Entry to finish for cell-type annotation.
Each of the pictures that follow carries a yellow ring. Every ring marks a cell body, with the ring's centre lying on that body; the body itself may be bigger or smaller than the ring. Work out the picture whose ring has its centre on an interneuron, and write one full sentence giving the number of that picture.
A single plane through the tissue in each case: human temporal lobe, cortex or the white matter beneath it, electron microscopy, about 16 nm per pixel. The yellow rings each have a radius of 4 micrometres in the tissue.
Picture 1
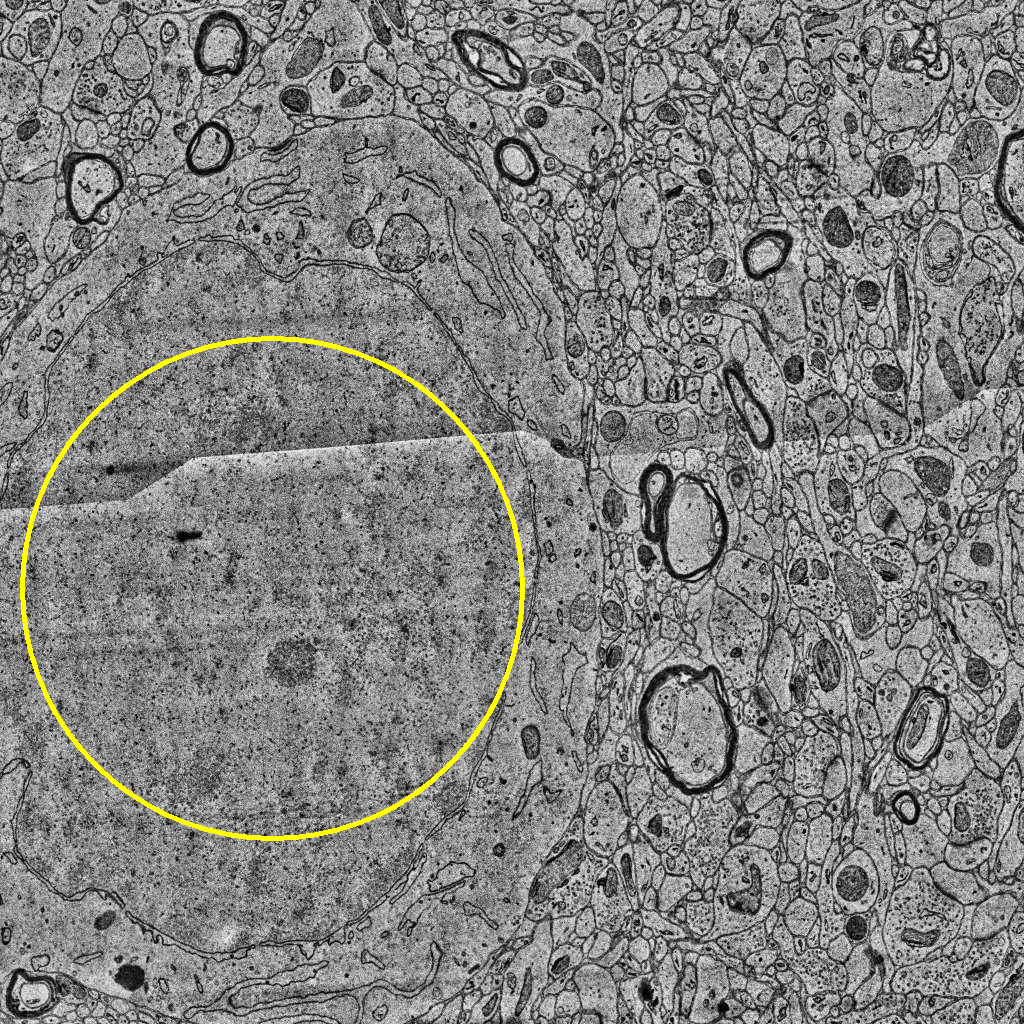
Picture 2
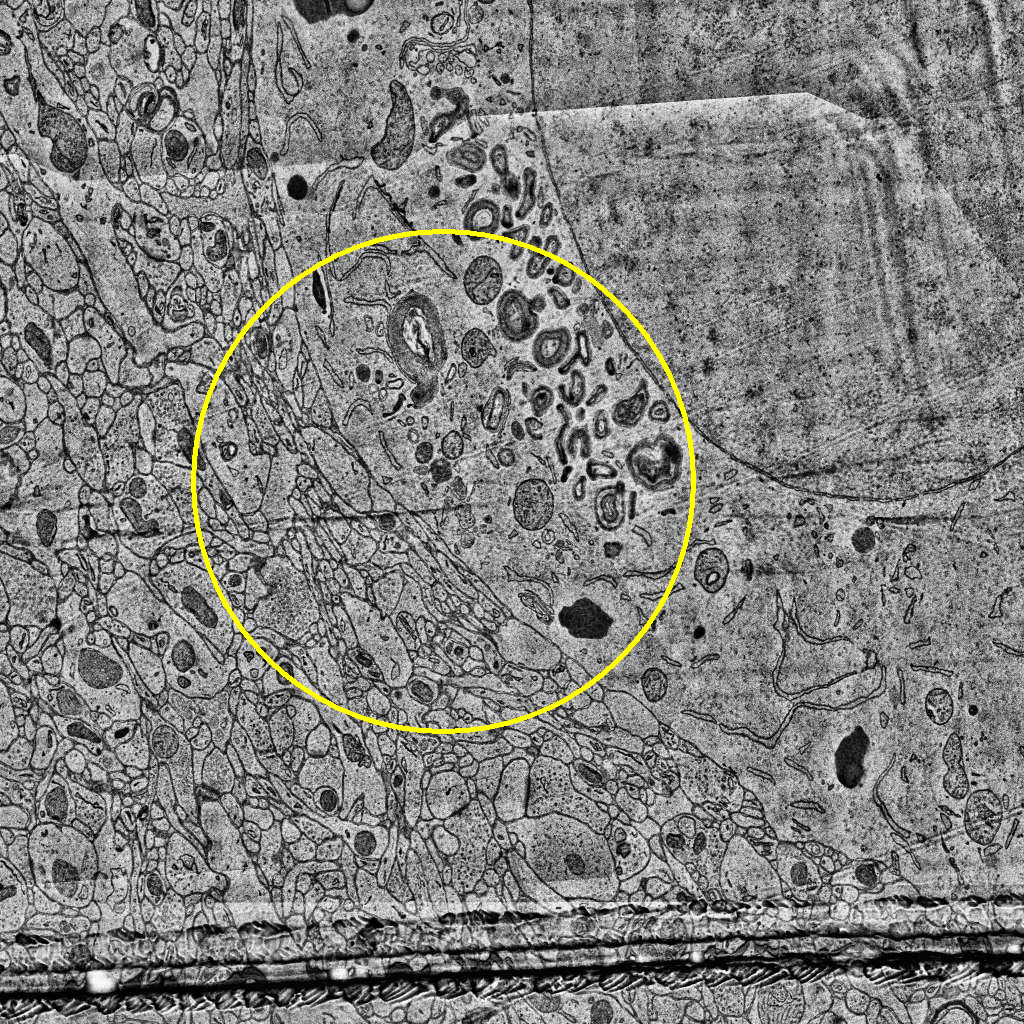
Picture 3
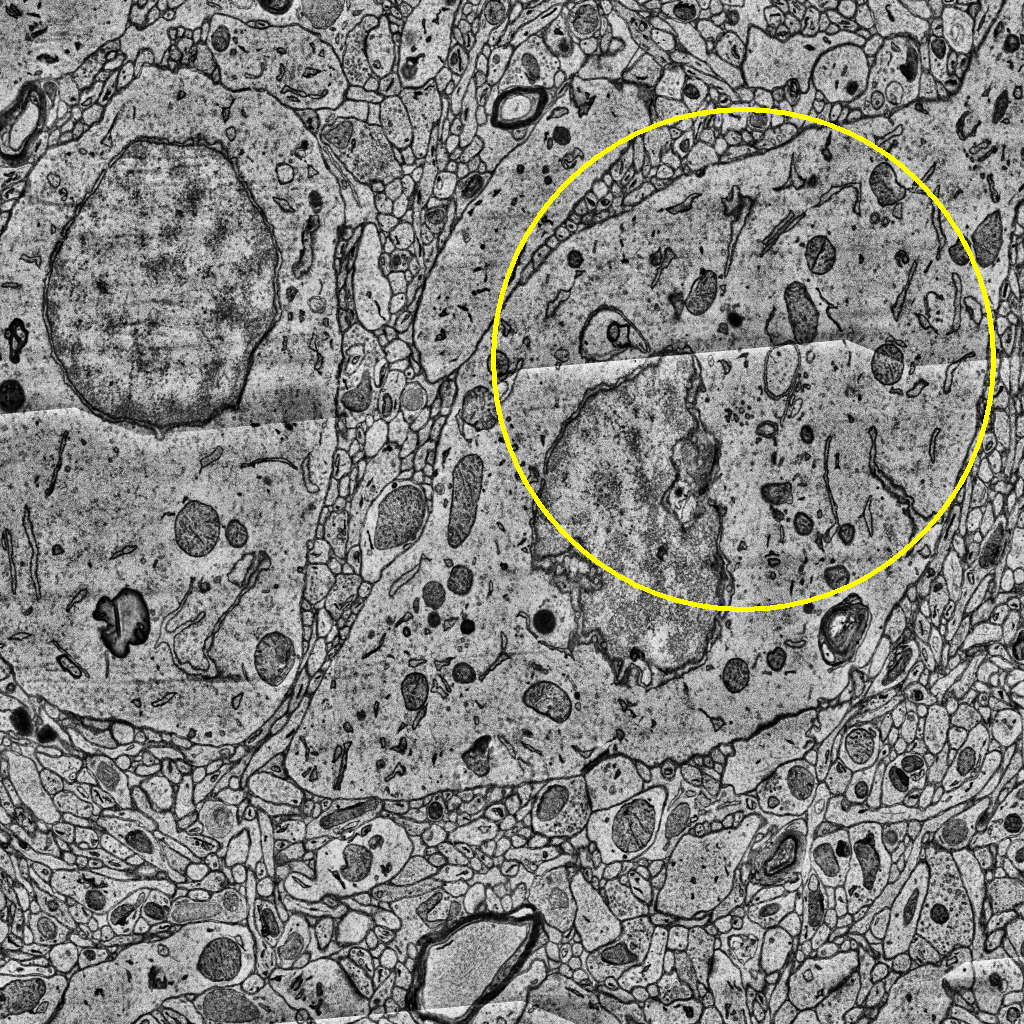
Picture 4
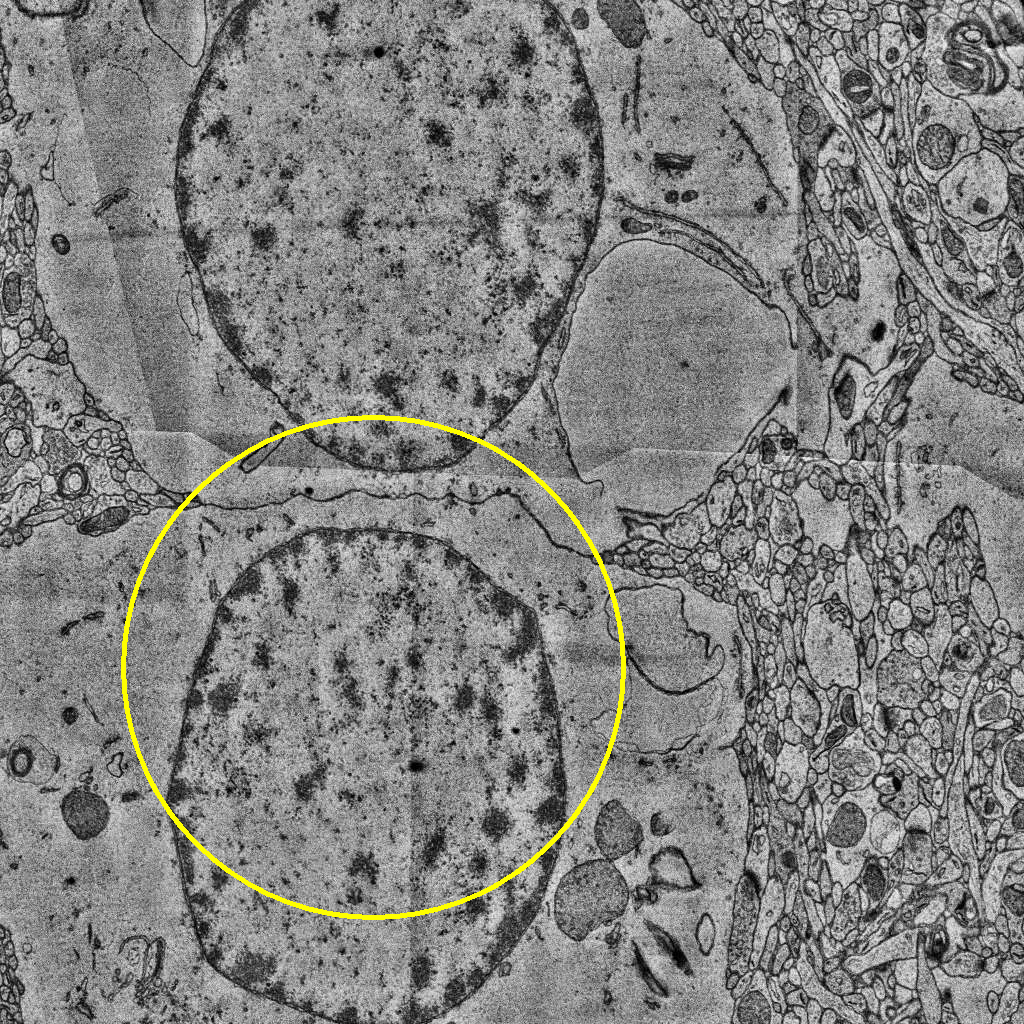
The cell lying at the ring's centre in picture 1 matches the request.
